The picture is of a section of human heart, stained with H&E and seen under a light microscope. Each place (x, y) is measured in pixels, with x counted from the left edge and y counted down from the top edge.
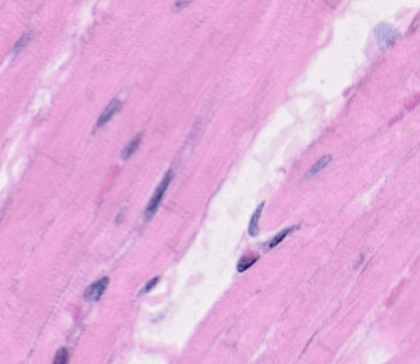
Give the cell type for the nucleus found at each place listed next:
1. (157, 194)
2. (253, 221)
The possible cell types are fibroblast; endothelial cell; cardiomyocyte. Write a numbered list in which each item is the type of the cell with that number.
1. endothelial cell
2. fibroblast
